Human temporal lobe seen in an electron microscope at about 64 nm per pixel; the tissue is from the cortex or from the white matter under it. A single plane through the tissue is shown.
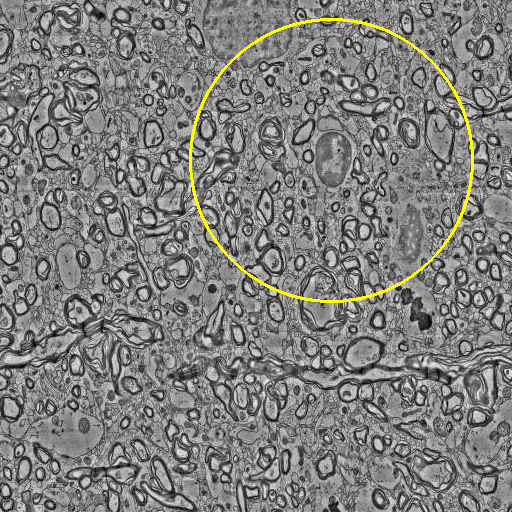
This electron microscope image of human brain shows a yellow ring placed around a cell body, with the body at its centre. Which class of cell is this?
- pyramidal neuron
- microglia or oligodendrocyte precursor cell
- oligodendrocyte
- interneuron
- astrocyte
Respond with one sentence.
The cell body at the ring's centre is a microglial cell or oligodendrocyte precursor cell.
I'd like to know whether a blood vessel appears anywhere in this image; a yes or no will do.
No, no blood vessel can be seen.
